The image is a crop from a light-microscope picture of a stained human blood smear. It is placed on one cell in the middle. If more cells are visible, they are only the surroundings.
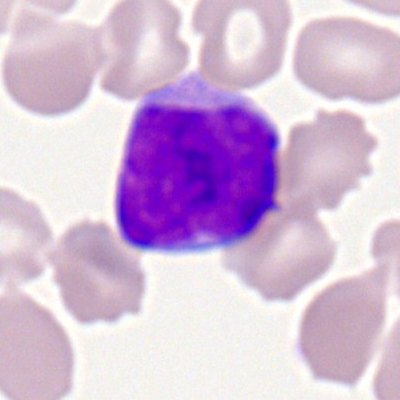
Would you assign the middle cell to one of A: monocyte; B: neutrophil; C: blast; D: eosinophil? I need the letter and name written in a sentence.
Option C gives the correct identity of the central cell, namely a blast.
